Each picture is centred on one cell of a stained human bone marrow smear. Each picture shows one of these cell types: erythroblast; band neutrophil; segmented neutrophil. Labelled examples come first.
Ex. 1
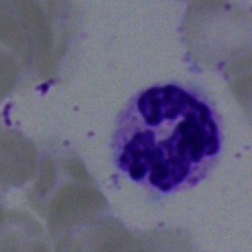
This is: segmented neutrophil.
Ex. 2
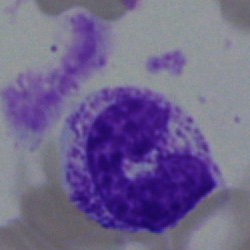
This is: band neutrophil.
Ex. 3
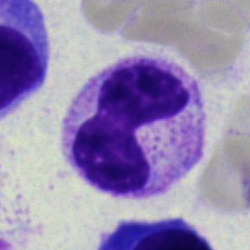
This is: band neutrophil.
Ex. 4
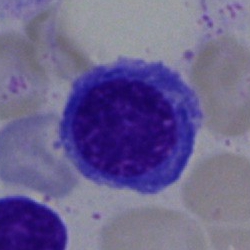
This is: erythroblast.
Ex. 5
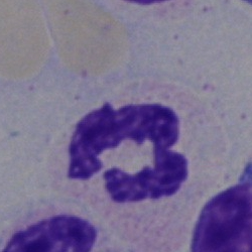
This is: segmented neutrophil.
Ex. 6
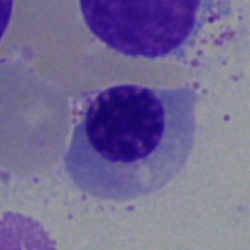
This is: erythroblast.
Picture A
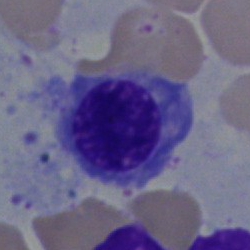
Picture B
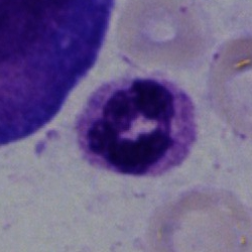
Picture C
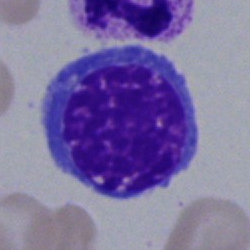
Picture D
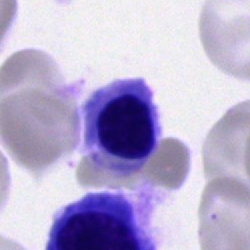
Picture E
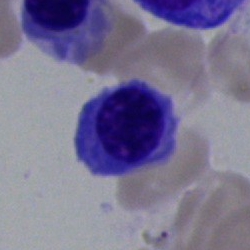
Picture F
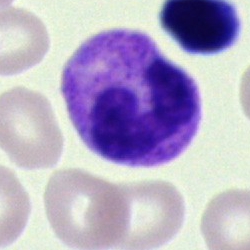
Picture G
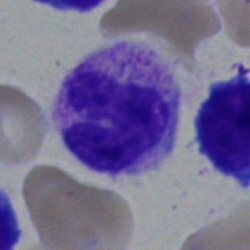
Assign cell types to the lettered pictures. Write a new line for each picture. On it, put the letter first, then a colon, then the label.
A: erythroblast.
B: segmented neutrophil.
C: erythroblast.
D: erythroblast.
E: erythroblast.
F: band neutrophil.
G: band neutrophil.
